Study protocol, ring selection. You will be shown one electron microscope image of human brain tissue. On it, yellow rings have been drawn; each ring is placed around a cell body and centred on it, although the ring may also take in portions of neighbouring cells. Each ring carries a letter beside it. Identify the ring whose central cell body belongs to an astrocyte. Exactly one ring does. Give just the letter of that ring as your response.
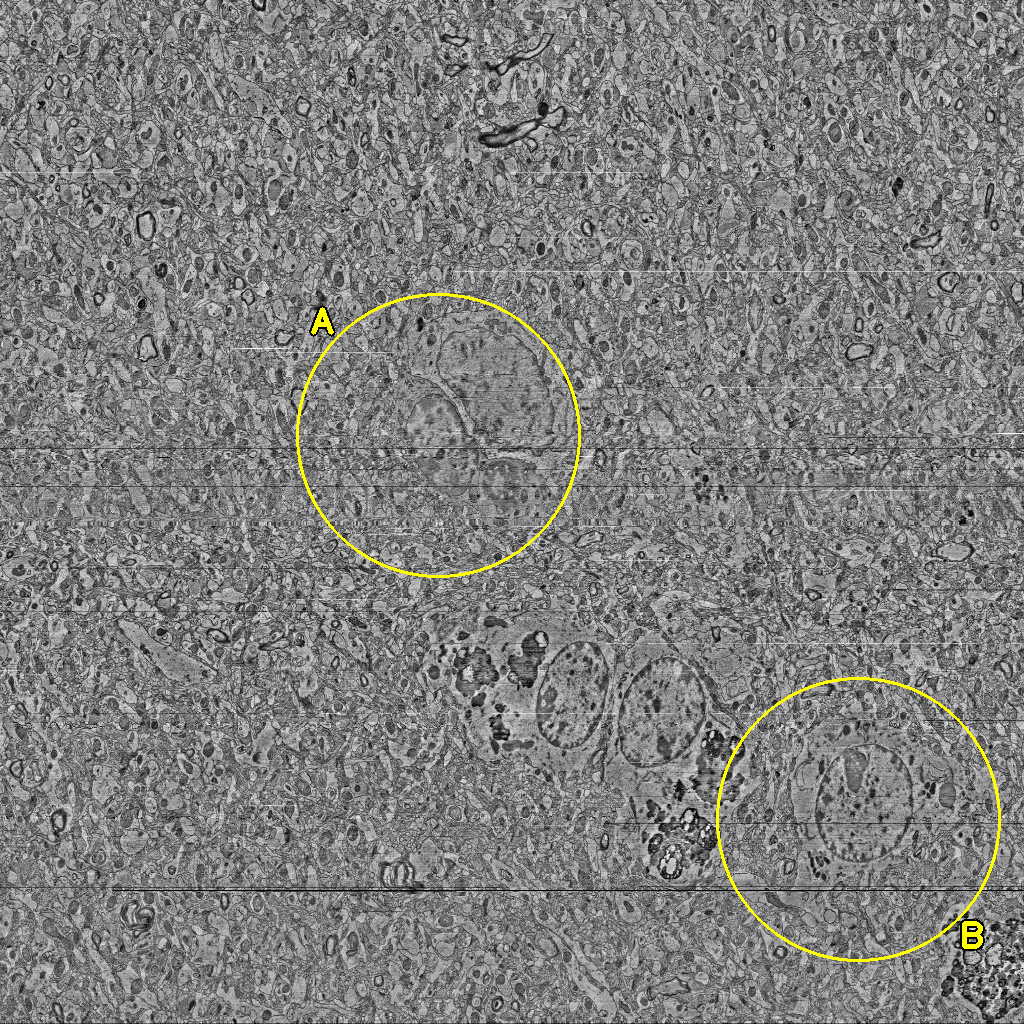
B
